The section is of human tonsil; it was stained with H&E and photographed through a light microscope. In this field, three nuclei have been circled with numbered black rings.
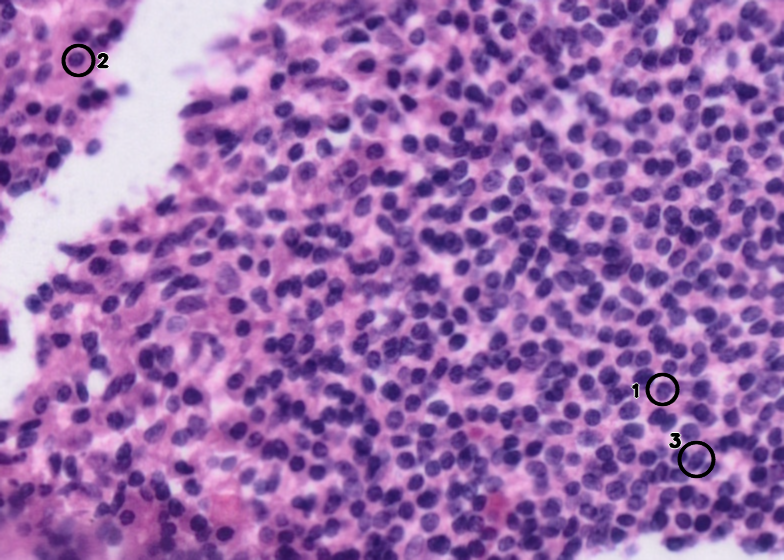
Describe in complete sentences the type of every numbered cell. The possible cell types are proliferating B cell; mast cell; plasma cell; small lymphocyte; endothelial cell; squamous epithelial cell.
Cell 1 is a small lymphocyte, cell 2 is a plasma cell and cell 3 is a small lymphocyte.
